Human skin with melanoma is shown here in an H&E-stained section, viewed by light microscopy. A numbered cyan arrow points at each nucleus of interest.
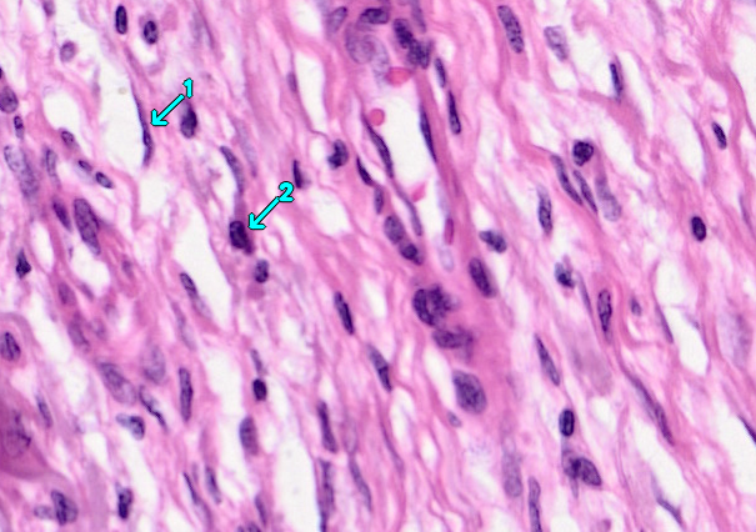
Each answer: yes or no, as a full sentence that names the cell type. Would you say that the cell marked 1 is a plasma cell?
No, cell 1 is identified not as a plasma cell but as a fibroblast or myofibroblast.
